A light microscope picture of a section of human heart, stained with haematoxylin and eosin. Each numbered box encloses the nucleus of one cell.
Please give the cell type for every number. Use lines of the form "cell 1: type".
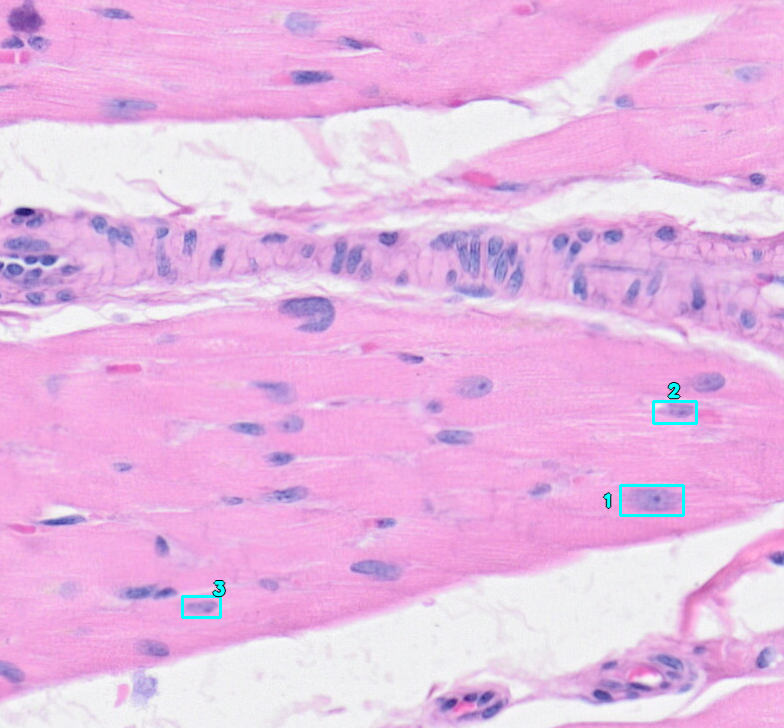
cell 1: cardiomyocyte
cell 2: endothelial cell
cell 3: cardiomyocyte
